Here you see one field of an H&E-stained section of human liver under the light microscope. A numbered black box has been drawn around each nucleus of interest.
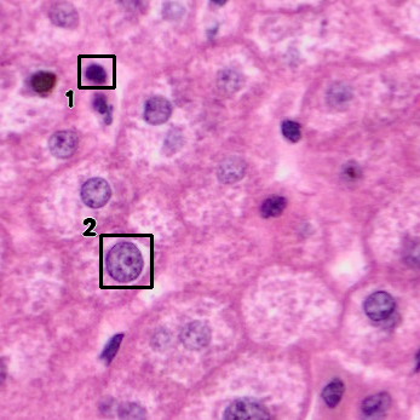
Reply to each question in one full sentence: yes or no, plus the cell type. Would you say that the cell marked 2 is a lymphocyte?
No, a hepatocyte is what cell 2 is, not a lymphocyte.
